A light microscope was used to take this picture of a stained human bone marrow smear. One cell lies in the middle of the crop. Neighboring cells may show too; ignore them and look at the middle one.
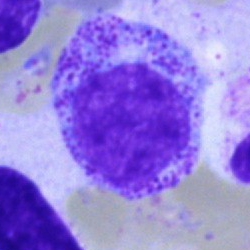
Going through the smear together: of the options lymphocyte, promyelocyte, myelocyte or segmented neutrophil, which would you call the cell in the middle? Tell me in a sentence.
Seen at the centre of the crop is a myelocyte.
